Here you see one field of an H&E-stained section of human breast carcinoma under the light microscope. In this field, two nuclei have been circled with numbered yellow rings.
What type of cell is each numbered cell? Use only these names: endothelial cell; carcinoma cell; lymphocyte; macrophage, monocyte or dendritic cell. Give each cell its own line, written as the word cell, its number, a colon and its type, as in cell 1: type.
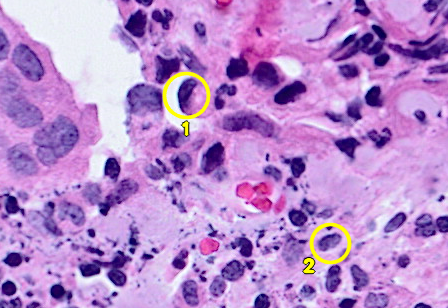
cell 1: carcinoma cell
cell 2: lymphocyte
